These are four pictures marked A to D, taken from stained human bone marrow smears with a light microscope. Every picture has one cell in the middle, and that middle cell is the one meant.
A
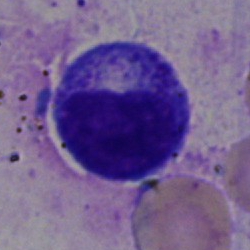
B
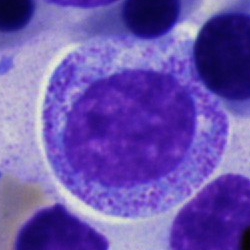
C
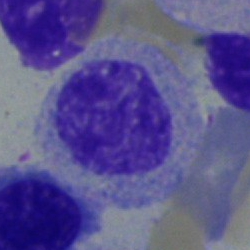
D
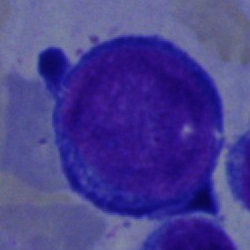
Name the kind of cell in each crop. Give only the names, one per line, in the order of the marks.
myelocyte
myelocyte
myelocyte
proerythroblast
